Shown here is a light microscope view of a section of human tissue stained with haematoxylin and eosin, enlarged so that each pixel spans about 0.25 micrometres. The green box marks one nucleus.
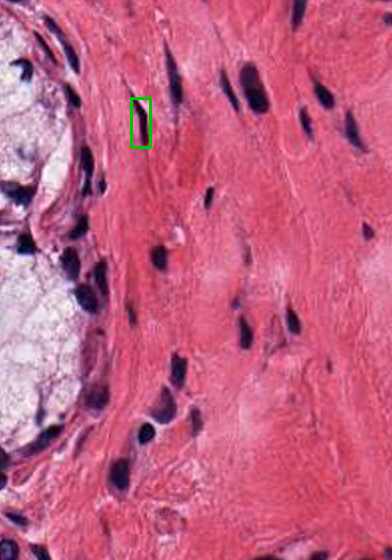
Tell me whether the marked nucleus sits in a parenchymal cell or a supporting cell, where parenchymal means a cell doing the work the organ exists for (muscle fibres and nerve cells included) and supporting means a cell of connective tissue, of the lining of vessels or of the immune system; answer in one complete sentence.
In the section shown, the marked nucleus belongs to a supporting cell.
